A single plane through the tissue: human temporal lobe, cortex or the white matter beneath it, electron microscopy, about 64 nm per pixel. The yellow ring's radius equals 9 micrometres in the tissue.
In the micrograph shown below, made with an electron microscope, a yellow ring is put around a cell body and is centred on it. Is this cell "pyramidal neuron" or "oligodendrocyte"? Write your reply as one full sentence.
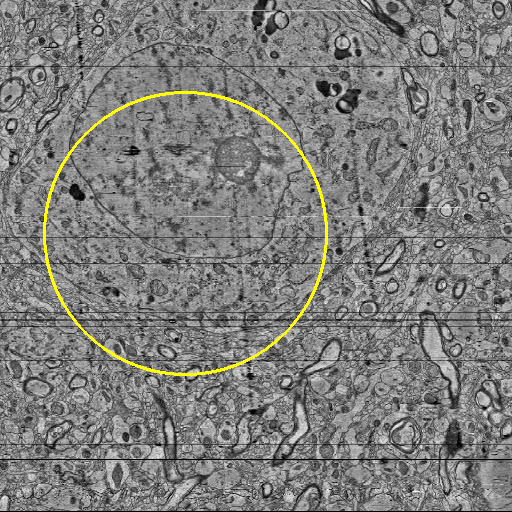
In the micrograph, a pyramidal neuron is the cell at the centre of the yellow ring.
